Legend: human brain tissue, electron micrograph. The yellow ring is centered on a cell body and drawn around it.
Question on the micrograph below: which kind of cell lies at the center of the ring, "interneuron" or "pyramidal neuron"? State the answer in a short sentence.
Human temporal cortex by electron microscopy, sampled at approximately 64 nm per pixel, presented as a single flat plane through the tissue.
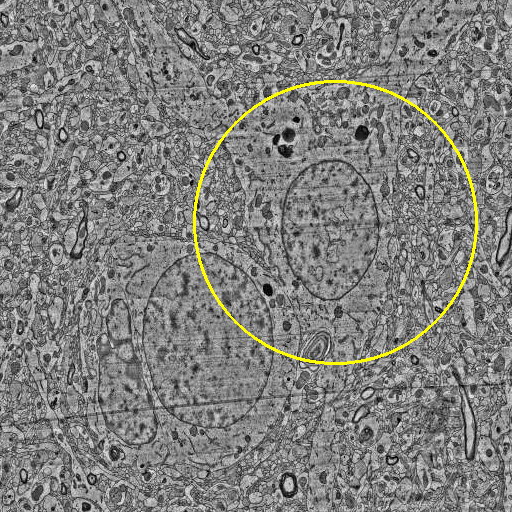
At the center of the ring lies a pyramidal neuron.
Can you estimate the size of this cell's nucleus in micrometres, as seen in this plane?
In this plane, roughly 9 by 6 micrometres.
